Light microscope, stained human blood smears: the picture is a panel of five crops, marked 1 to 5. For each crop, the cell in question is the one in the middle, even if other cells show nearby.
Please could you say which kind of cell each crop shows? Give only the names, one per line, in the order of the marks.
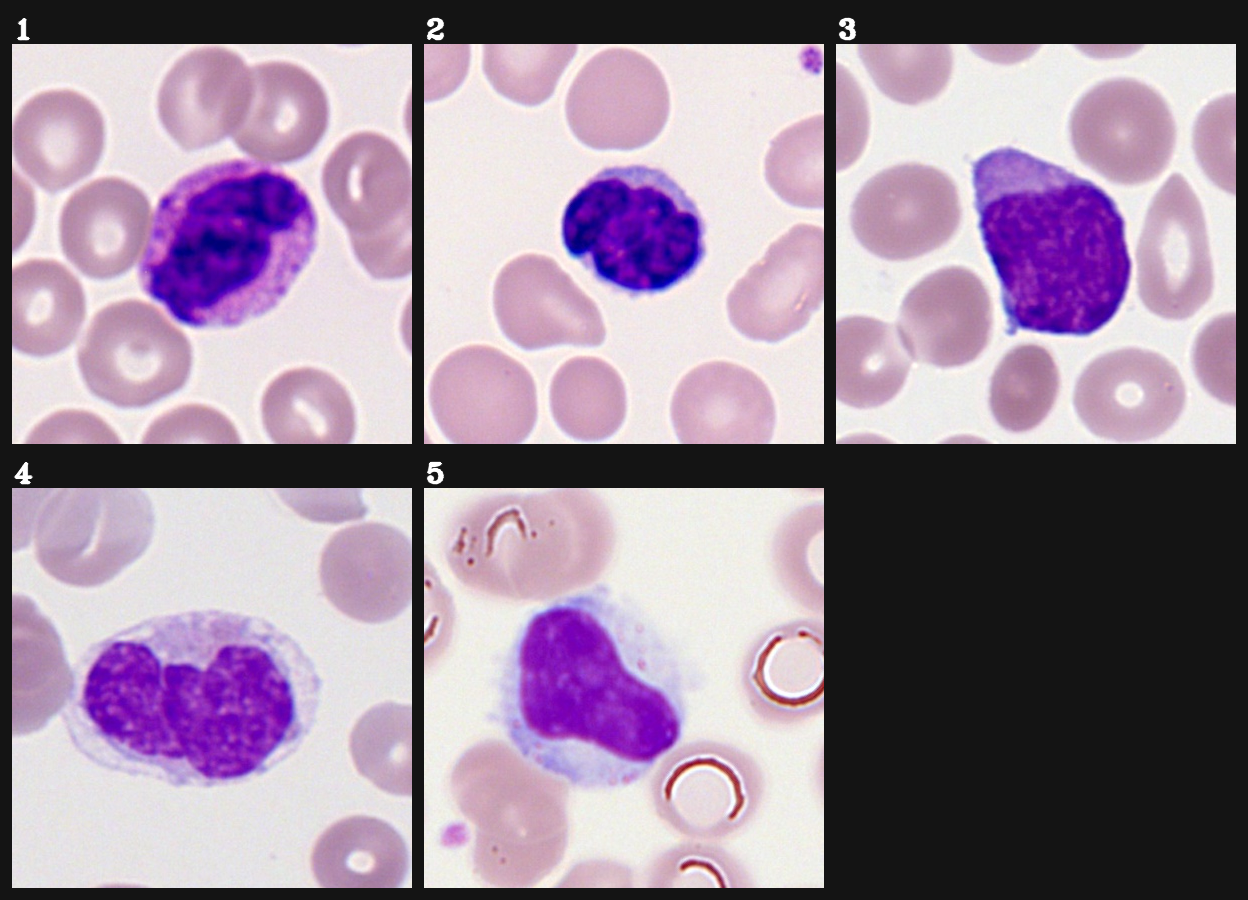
basophil
lymphocyte
myeloblast
monocyte
lymphocyte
